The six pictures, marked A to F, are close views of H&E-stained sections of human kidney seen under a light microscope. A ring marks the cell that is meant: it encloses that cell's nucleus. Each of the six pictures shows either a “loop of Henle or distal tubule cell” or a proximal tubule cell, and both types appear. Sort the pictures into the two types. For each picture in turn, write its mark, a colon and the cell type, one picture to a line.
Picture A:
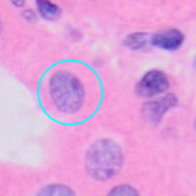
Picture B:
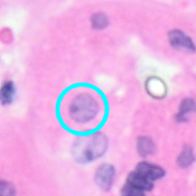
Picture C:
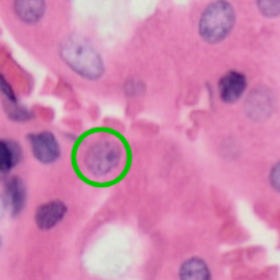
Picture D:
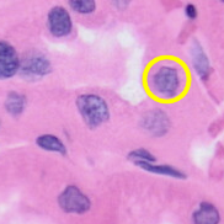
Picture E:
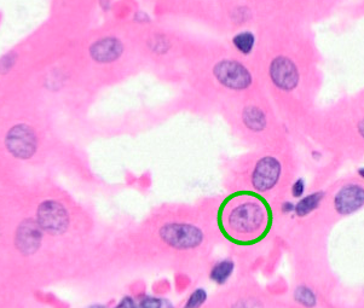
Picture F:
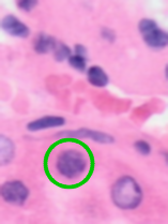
A: loop of Henle or distal tubule cell
B: proximal tubule cell
C: proximal tubule cell
D: loop of Henle or distal tubule cell
E: proximal tubule cell
F: proximal tubule cell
